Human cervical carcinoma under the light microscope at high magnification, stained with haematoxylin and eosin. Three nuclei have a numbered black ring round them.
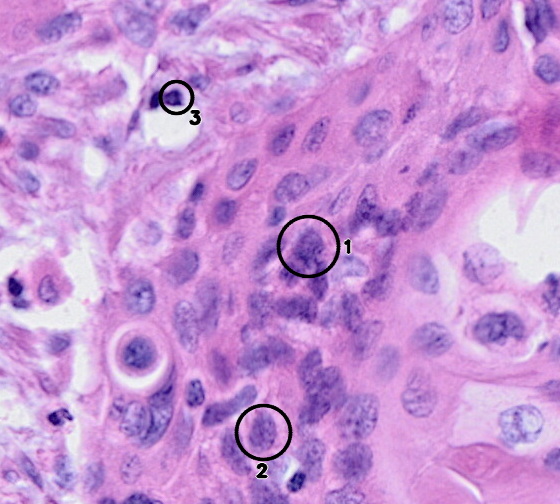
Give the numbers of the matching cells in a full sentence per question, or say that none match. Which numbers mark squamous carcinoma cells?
The cells carrying the numbers 1 and 2 are squamous carcinoma cells.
